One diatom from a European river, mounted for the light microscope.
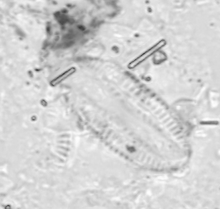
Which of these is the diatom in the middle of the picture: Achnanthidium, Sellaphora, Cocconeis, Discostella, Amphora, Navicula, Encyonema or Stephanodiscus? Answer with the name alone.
Amphora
